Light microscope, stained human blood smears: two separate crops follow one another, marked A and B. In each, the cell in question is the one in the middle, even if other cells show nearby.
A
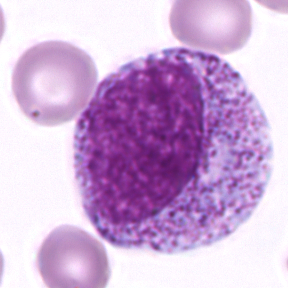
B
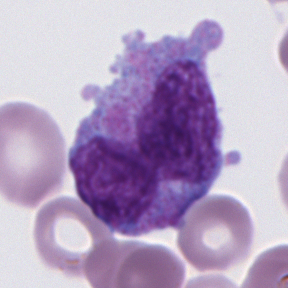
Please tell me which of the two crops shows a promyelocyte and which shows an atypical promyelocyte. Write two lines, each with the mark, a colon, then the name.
A: promyelocyte
B: atypical promyelocyte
